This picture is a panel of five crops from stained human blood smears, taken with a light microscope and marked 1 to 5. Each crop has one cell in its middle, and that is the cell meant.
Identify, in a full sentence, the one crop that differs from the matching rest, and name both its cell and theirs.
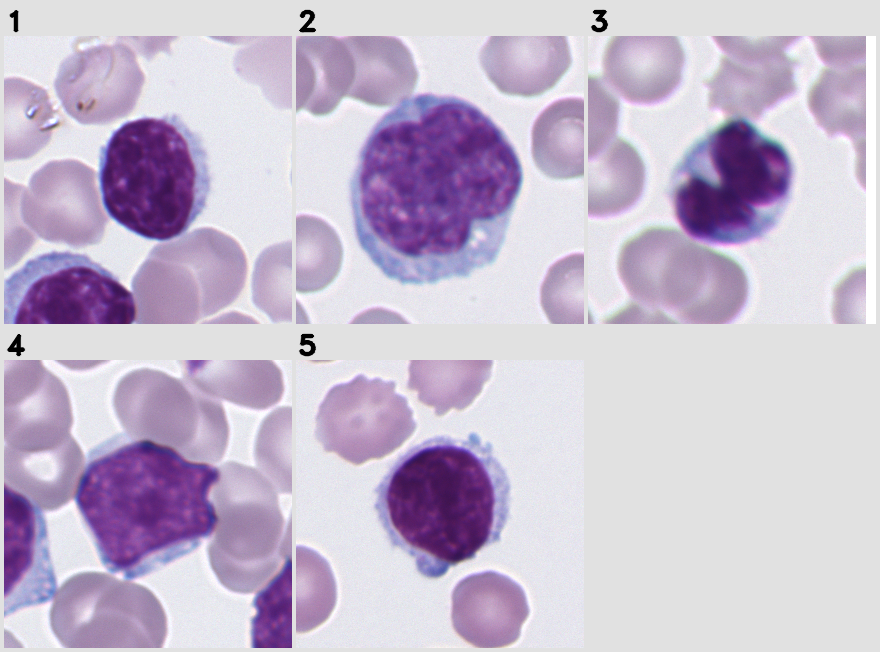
Crop 2 is singled out as a blast, and all of the other crops show lymphocytes.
